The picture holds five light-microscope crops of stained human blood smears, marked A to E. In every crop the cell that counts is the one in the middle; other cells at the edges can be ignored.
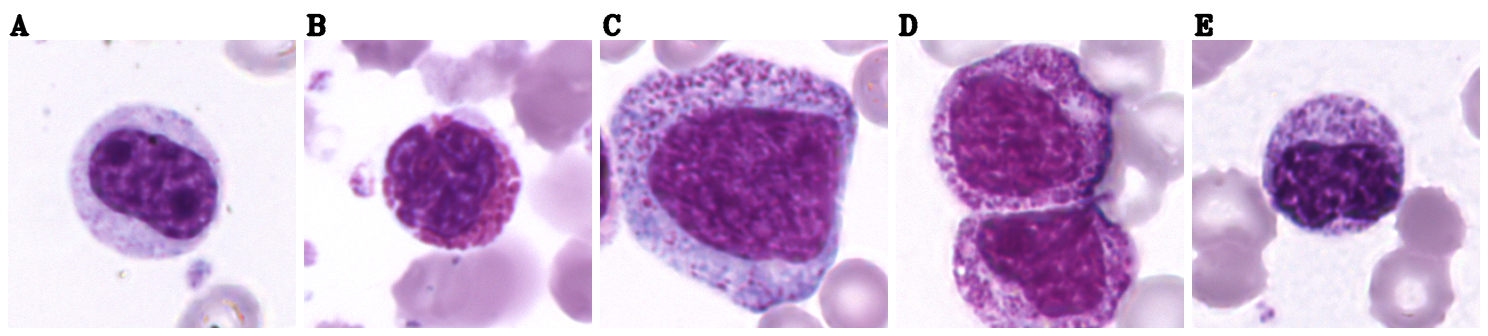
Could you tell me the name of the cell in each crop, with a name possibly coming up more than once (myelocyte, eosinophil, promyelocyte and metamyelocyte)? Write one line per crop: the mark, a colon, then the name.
A: metamyelocyte
B: eosinophil
C: promyelocyte
D: myelocyte
E: metamyelocyte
